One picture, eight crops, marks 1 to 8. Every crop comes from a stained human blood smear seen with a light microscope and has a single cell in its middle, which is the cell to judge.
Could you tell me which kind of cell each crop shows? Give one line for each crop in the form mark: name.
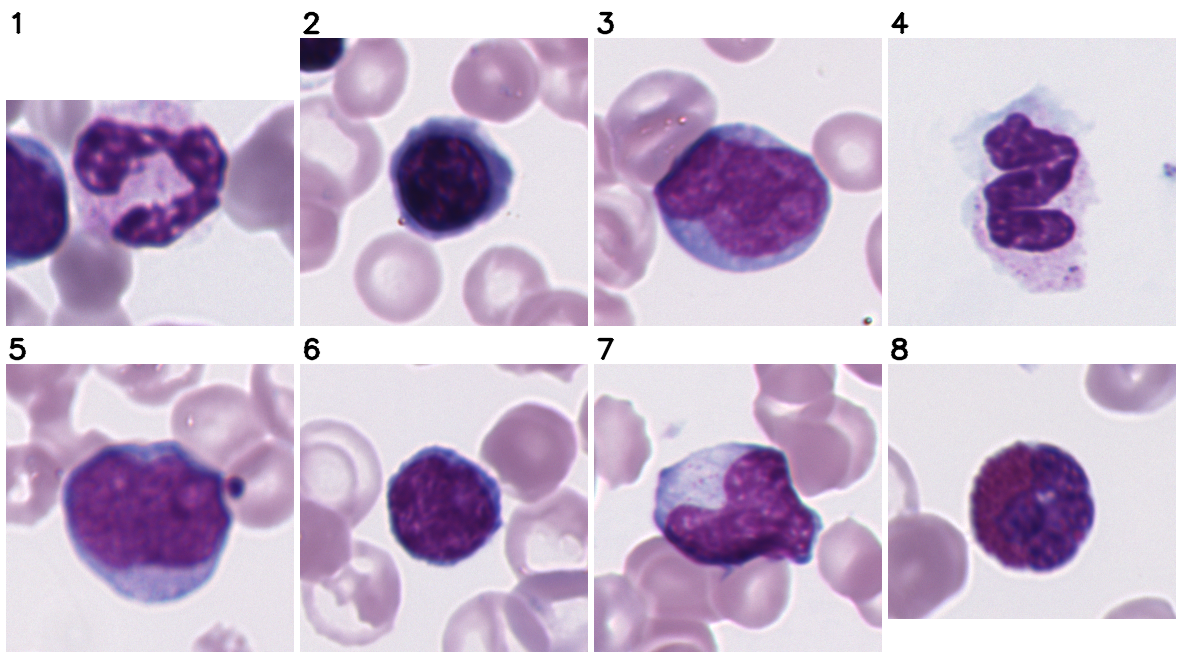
1: segmented neutrophil
2: normoblast
3: myeloblast
4: segmented neutrophil
5: myeloblast
6: typical lymphocyte
7: large granular lymphocyte
8: eosinophil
